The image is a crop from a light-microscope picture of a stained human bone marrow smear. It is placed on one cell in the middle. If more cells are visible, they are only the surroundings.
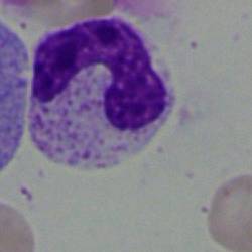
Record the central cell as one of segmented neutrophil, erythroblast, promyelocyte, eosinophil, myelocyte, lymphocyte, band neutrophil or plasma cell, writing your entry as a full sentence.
The cell at the central position in this crop is a band neutrophil.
